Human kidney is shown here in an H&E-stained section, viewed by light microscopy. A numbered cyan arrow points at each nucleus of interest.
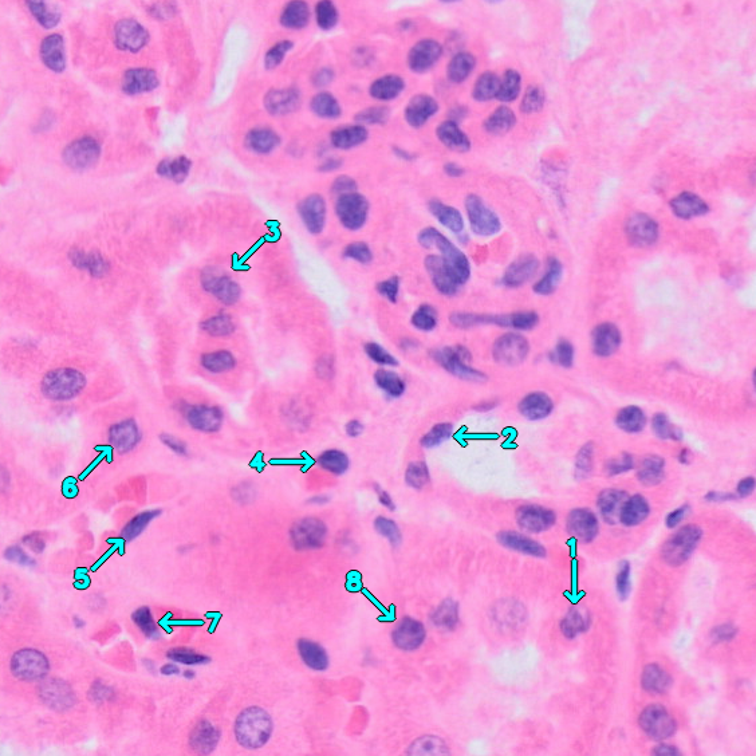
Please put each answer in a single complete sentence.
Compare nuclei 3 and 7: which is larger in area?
Nucleus 3 is the larger one, covering about 2 times the area of nucleus 7.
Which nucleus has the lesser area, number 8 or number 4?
It is nucleus 4; nucleus 8 has about 1.5 times its area.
